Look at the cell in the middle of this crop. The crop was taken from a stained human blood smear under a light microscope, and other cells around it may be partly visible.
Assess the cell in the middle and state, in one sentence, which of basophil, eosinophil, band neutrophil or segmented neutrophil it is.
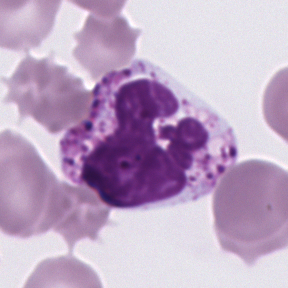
In the central position of this crop, the cell is a basophil.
